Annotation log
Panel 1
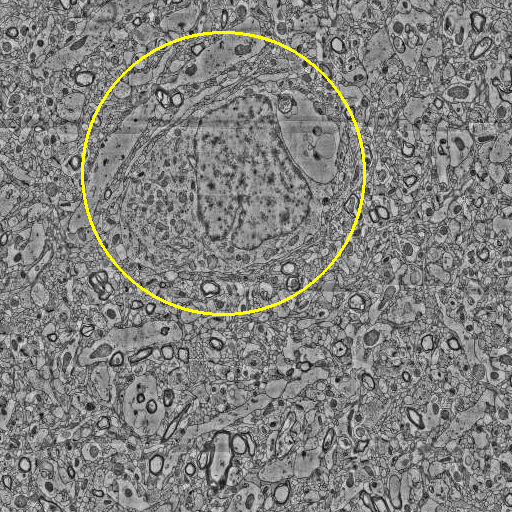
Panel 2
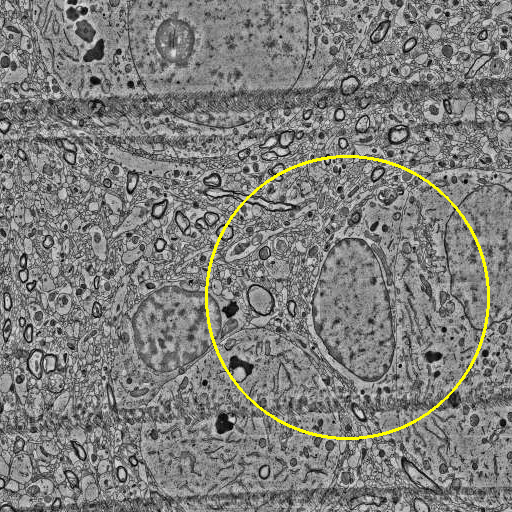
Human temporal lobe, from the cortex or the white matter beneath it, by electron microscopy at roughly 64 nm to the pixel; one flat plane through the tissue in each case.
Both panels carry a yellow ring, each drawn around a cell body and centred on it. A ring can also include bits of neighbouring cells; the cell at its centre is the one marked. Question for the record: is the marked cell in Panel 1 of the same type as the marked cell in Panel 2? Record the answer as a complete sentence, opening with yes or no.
No, the marked cells in Panel 1 and Panel 2 are of two types.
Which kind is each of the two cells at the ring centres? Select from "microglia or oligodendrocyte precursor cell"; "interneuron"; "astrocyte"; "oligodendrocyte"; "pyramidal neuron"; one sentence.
The cell at the centre of the ring is an interneuron in the first picture and a microglial cell or oligodendrocyte precursor cell in the second.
